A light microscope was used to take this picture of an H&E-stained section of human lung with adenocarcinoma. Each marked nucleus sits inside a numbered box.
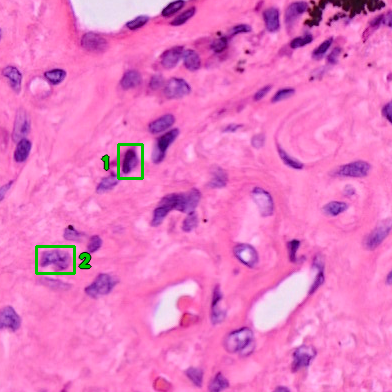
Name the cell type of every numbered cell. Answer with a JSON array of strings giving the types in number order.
["plasma cell", "fibroblast"]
